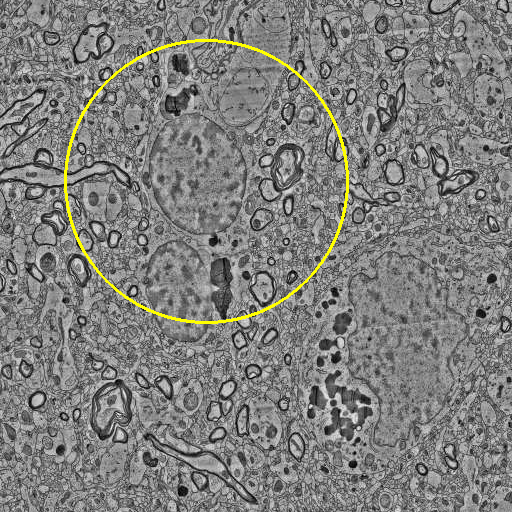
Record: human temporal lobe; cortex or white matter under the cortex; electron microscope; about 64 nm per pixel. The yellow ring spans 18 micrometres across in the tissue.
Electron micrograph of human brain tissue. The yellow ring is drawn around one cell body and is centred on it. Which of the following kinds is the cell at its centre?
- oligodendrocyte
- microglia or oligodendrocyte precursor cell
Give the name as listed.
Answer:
oligodendrocyte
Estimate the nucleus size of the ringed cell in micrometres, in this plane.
The nucleus has a long axis of about 8 micrometres and a short axis of about 6 micrometres in this plane.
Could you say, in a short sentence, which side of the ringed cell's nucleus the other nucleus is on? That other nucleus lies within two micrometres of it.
The other nucleus appears below it.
